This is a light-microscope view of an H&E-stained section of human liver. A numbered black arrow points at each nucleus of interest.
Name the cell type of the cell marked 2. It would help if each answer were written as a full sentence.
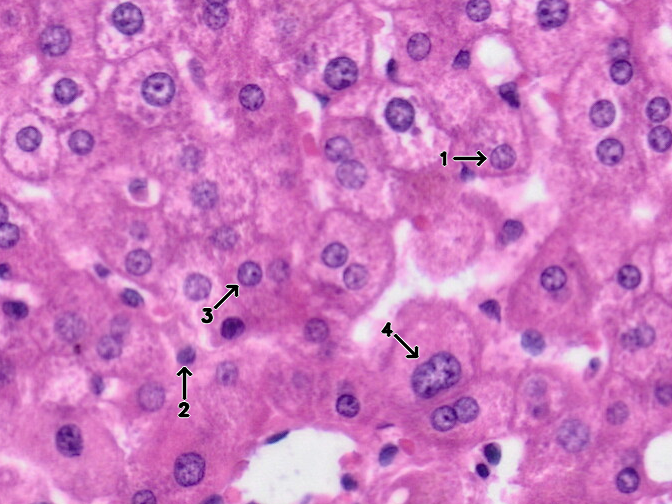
The label 2 in this section denotes a Kupffer cell.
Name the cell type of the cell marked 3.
As for number 3, that cell is a hepatocyte.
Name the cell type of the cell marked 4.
The cell pointed out by number 4 is a hepatocyte.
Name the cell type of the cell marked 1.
Belonging to a hepatocyte is the nucleus that carries the number 1.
